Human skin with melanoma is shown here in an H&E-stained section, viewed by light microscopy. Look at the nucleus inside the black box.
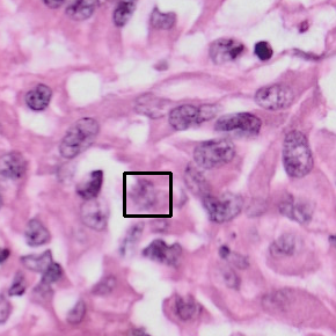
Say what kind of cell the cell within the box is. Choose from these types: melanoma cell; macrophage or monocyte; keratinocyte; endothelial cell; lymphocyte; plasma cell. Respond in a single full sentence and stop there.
What the cell within the box represents is a melanoma cell.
